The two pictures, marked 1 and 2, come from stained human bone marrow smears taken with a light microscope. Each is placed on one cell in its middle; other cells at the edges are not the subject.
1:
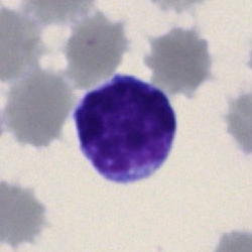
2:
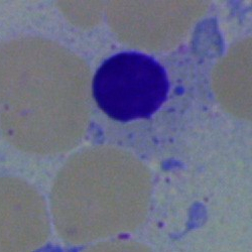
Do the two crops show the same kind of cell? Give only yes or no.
yes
